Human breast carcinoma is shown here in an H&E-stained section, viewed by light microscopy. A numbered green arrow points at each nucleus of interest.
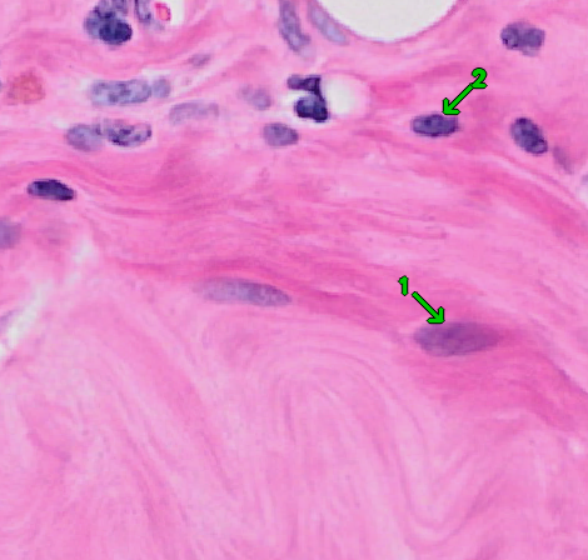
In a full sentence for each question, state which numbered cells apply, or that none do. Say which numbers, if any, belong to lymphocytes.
Of those with numbers, only cell 2 is a lymphocyte.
